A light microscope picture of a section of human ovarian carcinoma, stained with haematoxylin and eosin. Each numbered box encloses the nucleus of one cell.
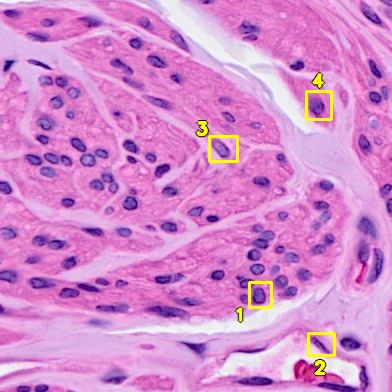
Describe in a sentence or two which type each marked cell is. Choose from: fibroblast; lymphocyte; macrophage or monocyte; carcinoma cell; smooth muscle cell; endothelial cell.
Cells 1, 3 and 4 are smooth muscle cells. Cell 2 is an endothelial cell.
